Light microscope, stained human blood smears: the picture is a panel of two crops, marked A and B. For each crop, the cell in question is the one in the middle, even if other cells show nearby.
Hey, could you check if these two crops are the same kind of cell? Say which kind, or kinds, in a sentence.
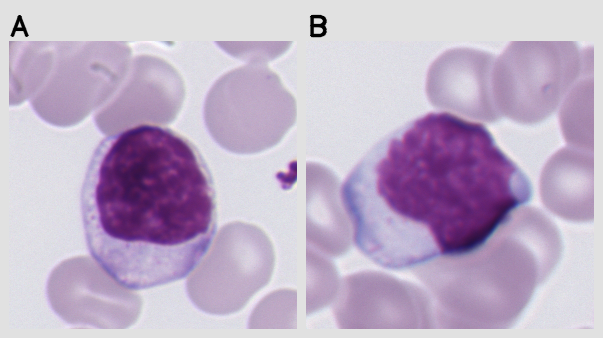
Yes, the pair of crops both show large granular lymphocytes.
